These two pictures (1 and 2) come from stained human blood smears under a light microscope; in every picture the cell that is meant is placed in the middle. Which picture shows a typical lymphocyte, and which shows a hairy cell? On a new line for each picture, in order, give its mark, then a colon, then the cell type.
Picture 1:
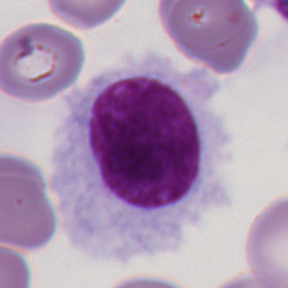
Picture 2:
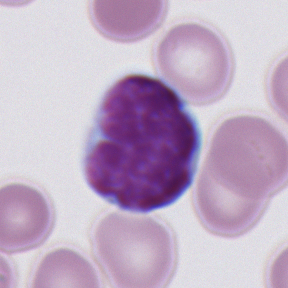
1: hairy cell
2: typical lymphocyte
